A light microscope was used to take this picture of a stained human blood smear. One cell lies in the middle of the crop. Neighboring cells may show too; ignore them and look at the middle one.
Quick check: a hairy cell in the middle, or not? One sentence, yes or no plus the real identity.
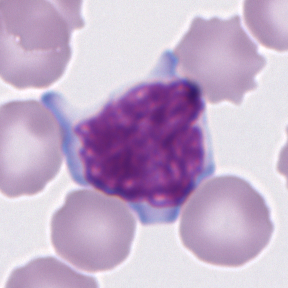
No, the middle cell is classified as a typical lymphocyte instead of a hairy cell.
